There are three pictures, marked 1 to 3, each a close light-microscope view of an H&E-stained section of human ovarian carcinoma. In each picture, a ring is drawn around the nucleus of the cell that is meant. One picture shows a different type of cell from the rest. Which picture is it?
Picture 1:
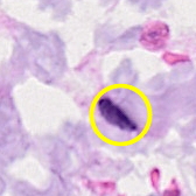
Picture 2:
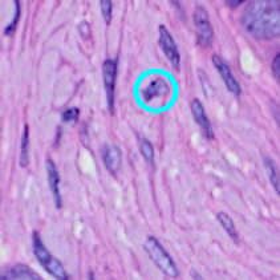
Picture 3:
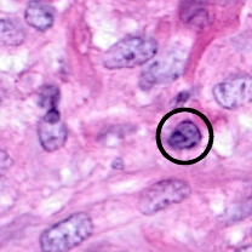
3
